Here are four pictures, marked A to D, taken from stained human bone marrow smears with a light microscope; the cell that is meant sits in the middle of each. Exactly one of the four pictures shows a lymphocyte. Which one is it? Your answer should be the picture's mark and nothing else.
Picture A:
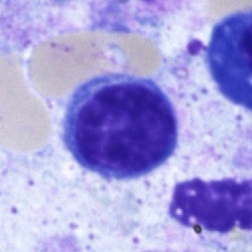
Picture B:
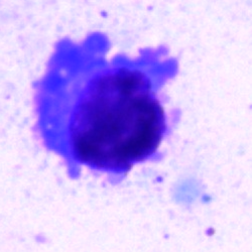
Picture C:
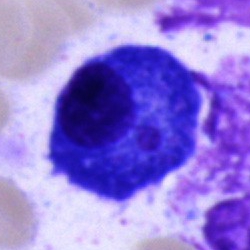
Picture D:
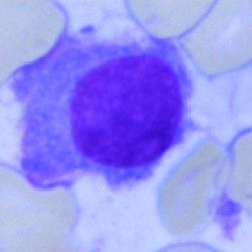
A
